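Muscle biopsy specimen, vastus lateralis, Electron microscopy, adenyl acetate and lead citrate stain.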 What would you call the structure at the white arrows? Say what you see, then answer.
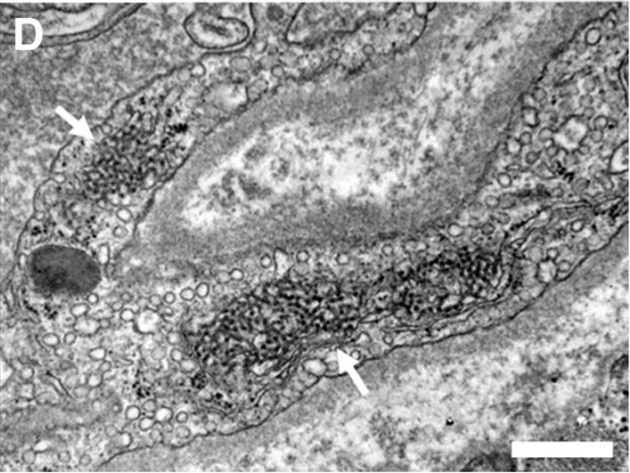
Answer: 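Tubuloreticular bodies. The arrows point to clusters of small dense tubular profiles. The clusters lie within cytoplasm bounded by membranes, among many small vesicles.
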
